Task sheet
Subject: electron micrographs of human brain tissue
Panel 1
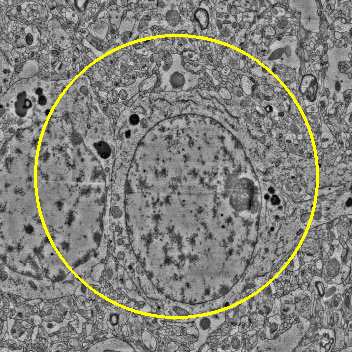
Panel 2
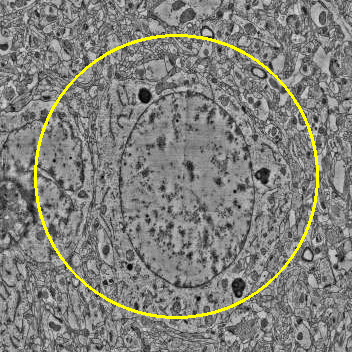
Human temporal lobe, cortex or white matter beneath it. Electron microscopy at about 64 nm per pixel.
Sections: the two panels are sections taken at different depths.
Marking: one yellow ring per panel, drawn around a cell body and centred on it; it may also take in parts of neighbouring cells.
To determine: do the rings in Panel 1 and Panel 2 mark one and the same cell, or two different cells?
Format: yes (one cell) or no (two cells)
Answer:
yes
